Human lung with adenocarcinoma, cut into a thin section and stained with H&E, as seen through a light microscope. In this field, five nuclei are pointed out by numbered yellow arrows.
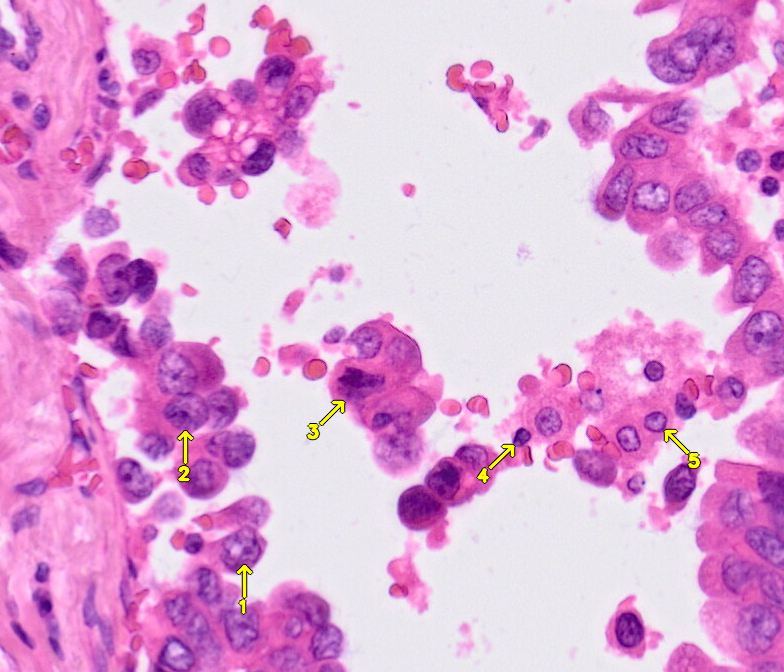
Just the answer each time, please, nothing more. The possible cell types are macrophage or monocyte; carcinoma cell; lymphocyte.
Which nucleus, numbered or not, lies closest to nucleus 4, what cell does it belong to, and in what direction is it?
a macrophage or monocyte above and to the right of nucleus 4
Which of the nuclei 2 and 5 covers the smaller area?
5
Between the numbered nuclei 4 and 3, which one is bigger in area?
3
